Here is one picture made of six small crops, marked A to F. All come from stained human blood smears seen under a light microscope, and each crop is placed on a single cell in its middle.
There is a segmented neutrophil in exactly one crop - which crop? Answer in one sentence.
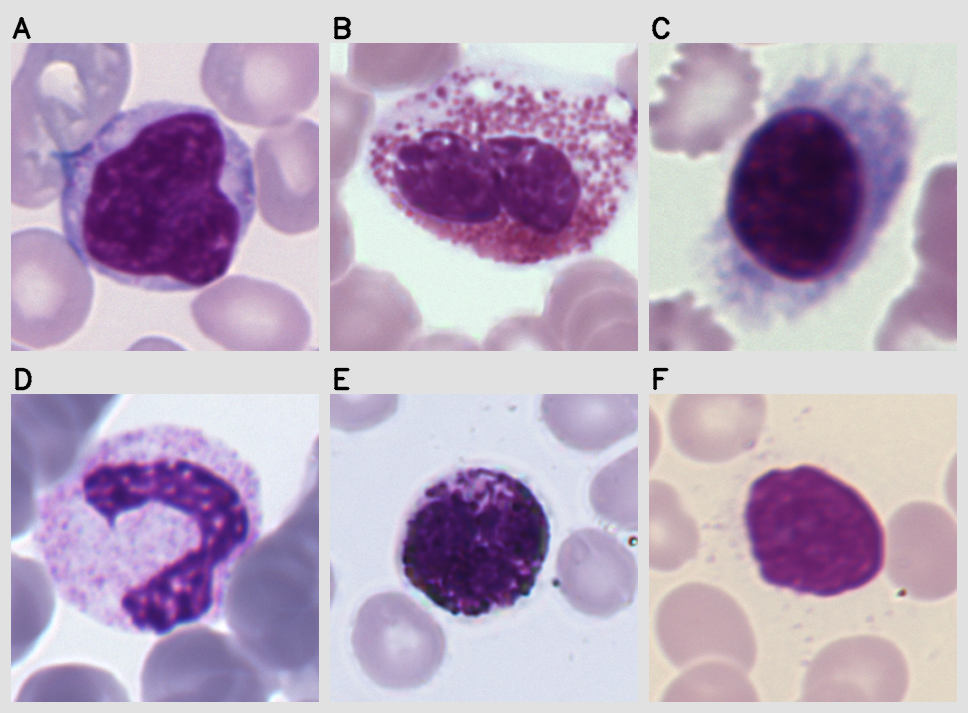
In the set of crops, crop D is the one that contains a segmented neutrophil.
